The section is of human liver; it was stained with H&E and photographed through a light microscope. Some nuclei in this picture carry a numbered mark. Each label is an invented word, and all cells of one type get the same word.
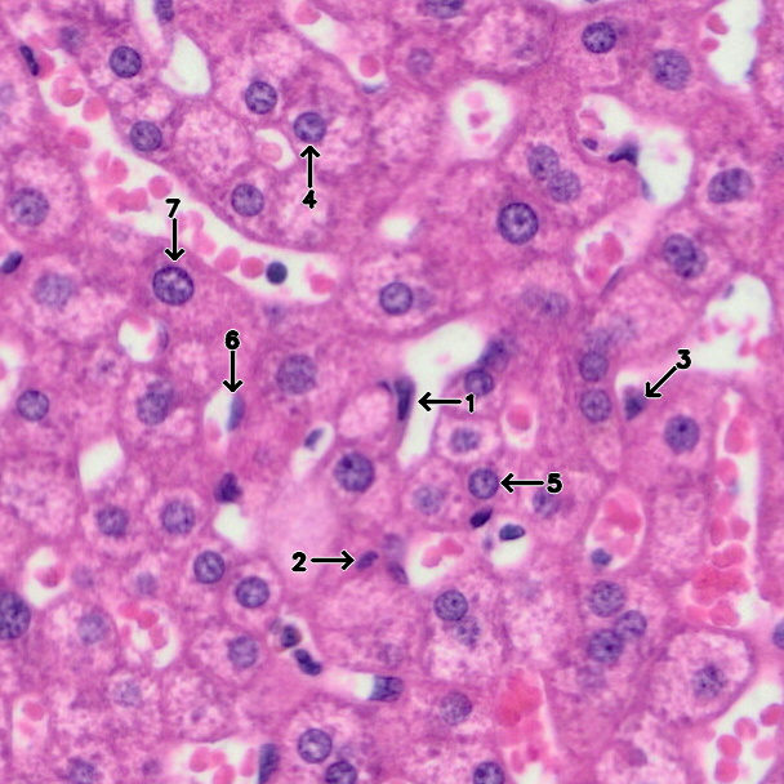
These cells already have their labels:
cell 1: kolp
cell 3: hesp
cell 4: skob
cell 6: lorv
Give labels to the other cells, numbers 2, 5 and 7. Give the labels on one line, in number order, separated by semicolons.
hesp; skob; skob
